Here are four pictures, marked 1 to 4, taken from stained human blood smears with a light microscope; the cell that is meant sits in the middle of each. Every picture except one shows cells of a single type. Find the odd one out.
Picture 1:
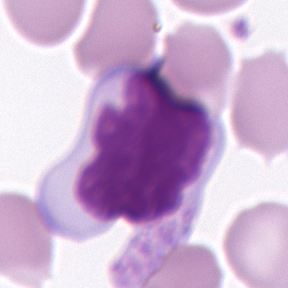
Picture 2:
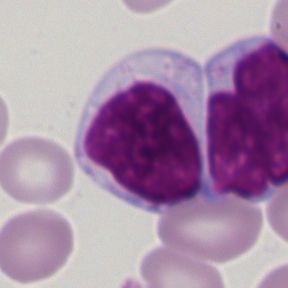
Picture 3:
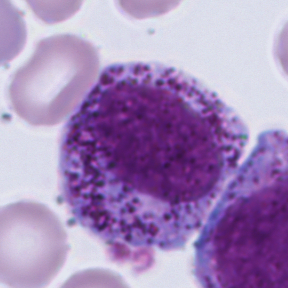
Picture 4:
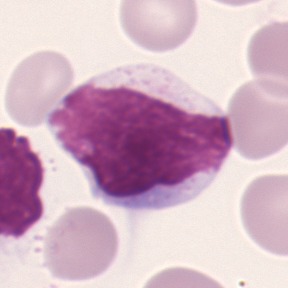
3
